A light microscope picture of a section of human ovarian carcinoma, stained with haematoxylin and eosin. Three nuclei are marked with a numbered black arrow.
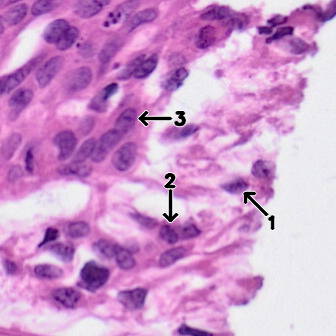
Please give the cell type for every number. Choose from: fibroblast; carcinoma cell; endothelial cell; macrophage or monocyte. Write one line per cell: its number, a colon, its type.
1: fibroblast
2: carcinoma cell
3: carcinoma cell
